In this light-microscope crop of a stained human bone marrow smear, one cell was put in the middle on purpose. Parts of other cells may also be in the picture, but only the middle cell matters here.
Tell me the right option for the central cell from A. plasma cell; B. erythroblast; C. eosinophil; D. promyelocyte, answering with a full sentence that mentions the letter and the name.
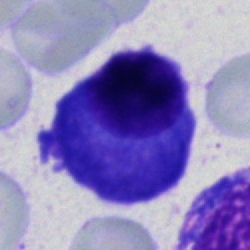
The correct response is option A, naming the cell in the middle as a plasma cell.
